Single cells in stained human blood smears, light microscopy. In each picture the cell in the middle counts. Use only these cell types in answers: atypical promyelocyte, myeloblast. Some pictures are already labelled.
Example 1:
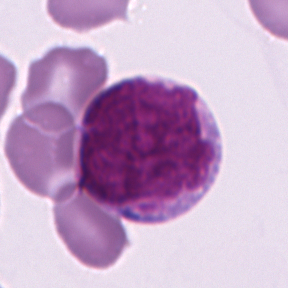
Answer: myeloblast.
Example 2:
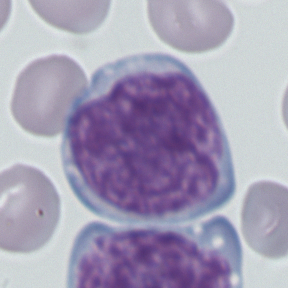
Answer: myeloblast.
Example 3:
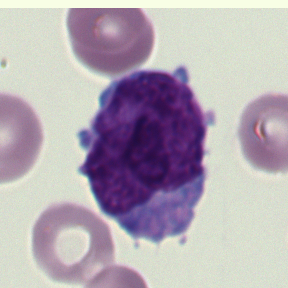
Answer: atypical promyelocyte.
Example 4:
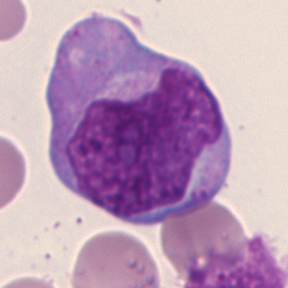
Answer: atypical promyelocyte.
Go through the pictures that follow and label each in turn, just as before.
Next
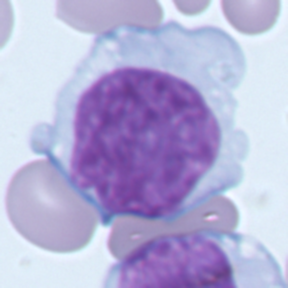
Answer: myeloblast.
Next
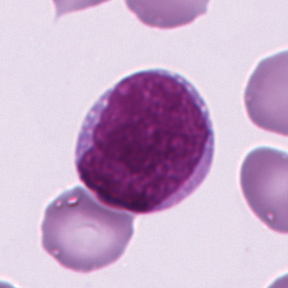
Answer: myeloblast.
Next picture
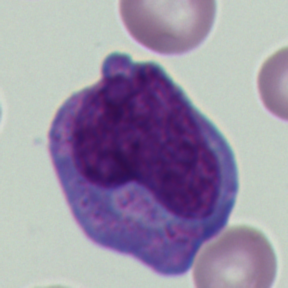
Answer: atypical promyelocyte.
